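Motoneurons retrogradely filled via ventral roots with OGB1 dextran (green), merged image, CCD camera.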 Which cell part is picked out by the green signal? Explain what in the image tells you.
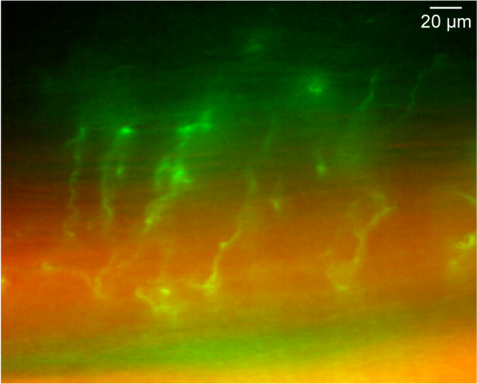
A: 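Thin, wavy, branching green processes run mostly top to bottom across the field. The green processes carry small bright swellings and spots along their length. On this evidence: dendritic arbor.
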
